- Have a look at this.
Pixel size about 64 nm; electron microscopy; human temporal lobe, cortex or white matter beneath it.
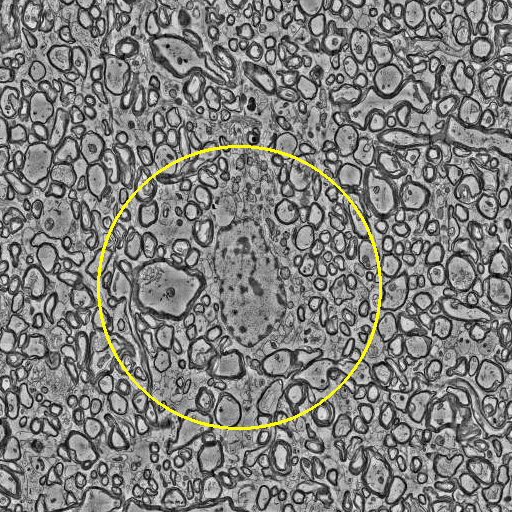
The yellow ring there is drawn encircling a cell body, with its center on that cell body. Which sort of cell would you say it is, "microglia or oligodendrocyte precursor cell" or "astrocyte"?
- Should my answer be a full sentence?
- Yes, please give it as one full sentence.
For this picture, an astrocyte is the cell where the yellow ring has its center.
